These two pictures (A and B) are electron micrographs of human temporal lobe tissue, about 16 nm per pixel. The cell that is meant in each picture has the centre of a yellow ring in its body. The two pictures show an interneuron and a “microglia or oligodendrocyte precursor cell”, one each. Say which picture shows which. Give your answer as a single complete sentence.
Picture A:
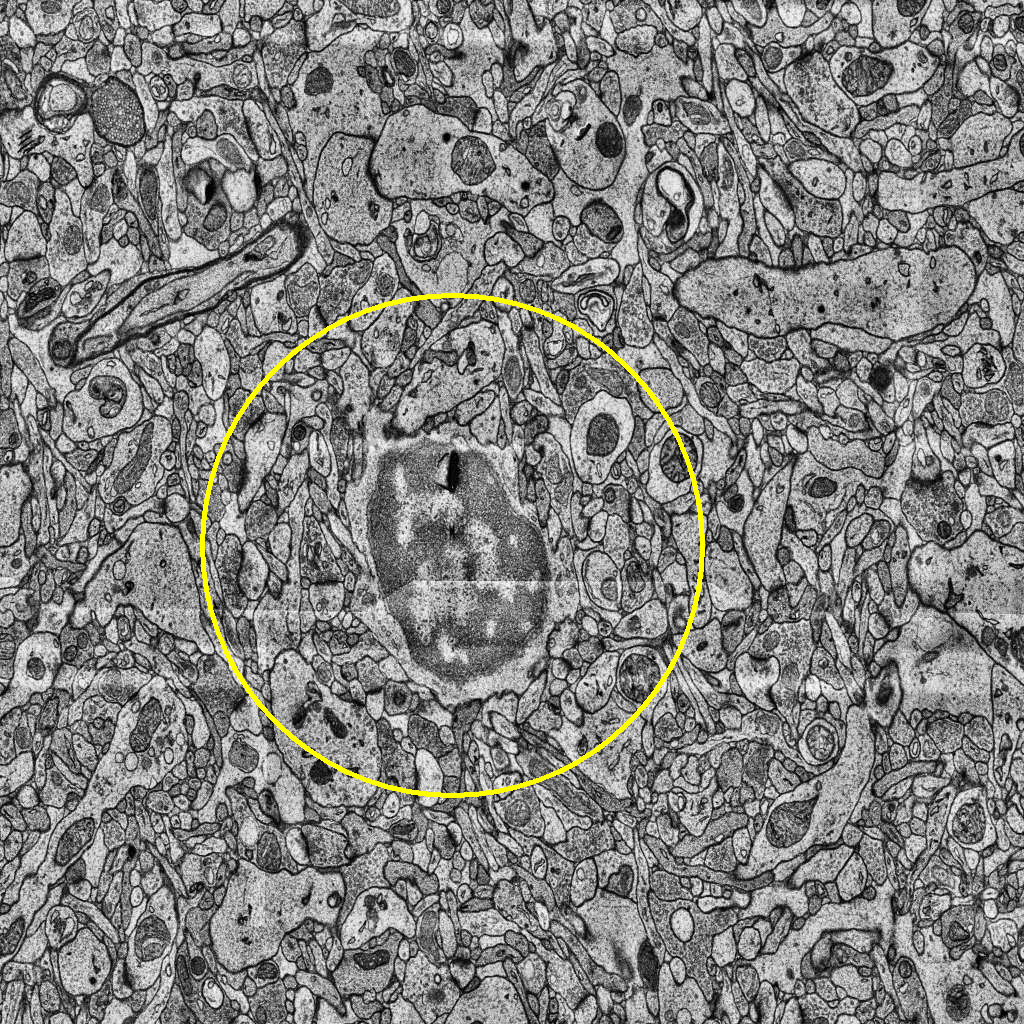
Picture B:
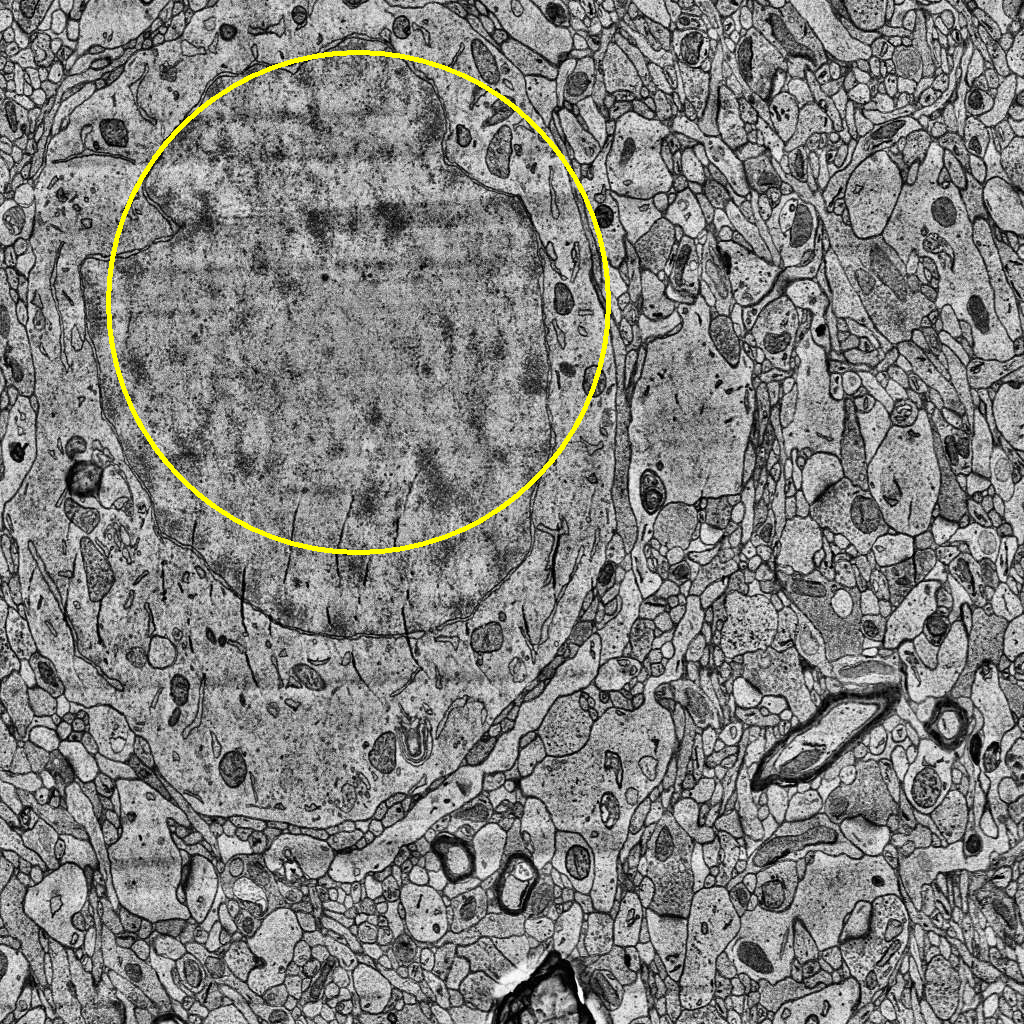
Picture A shows a “microglia or oligodendrocyte precursor cell” and picture B shows an interneuron.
